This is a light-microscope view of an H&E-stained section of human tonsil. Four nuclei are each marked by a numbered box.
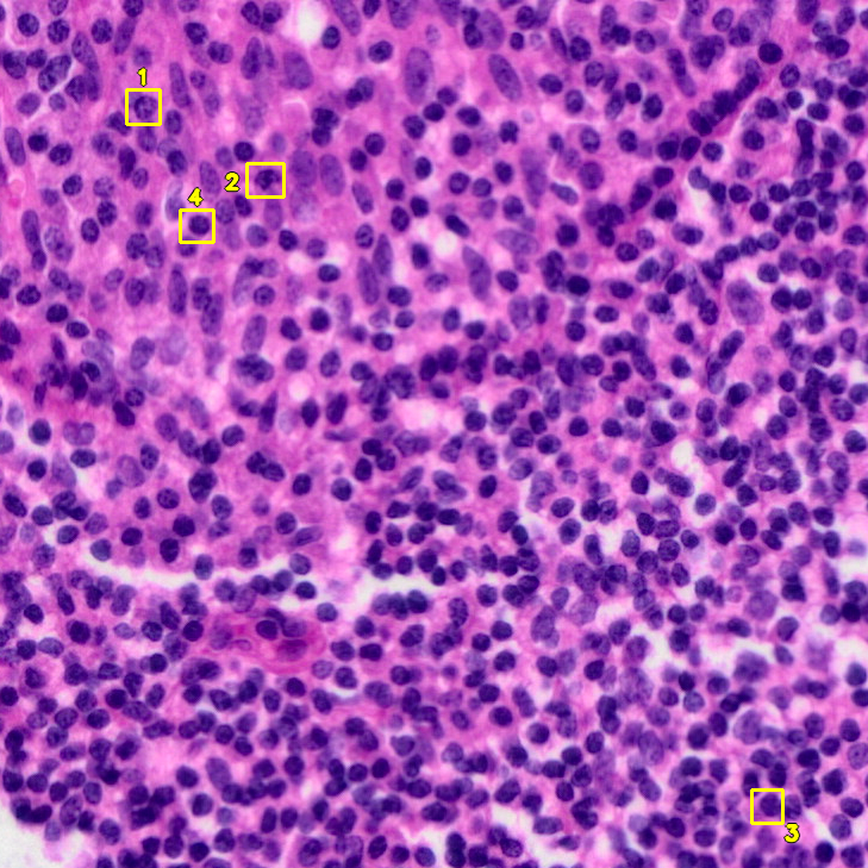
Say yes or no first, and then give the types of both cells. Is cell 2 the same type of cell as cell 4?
Yes, in terms of cell type, cells 2 and 4 are both plasma cells.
